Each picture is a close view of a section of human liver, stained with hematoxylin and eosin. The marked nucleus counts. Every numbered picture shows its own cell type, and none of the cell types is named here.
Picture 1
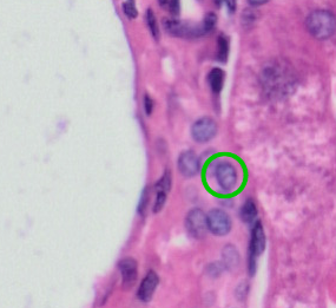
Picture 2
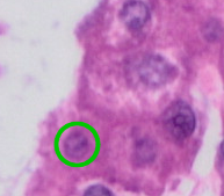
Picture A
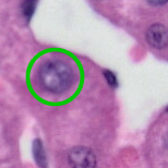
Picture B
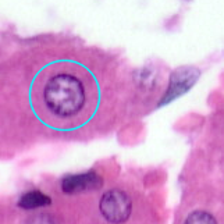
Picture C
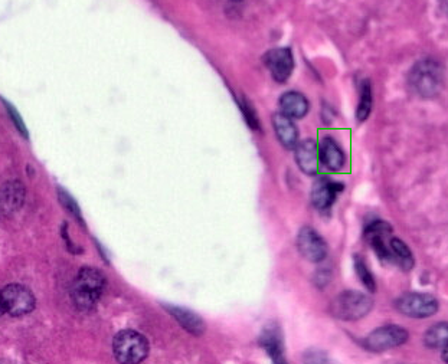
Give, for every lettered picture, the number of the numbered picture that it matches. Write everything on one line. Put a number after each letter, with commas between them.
A 2, B 2, C 1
